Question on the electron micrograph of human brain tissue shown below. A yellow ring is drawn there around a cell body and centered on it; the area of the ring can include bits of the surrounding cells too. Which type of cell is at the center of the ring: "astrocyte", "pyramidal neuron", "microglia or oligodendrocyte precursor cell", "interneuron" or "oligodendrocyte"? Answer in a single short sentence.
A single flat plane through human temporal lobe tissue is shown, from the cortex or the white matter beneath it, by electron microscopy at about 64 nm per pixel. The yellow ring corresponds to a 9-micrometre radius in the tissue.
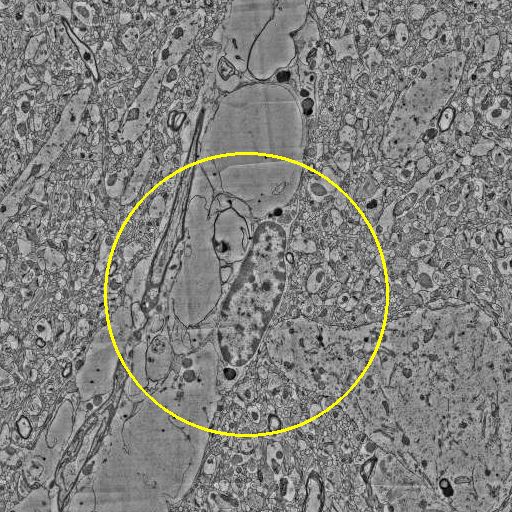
The ring is centered on a microglial cell or oligodendrocyte precursor cell.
